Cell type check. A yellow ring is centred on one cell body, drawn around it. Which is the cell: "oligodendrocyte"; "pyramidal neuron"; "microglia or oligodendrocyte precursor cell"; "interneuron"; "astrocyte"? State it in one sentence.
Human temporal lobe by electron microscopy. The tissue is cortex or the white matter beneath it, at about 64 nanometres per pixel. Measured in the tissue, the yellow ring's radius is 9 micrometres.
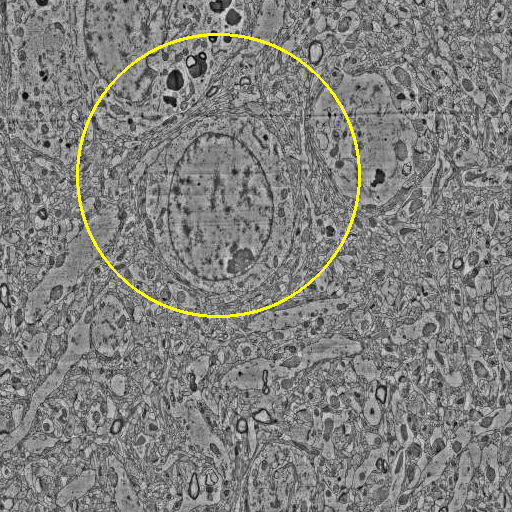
The cell body at the ring's centre belongs to a pyramidal neuron.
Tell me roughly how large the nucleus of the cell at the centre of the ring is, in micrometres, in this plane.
In this plane, roughly 10 by 7 micrometres.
